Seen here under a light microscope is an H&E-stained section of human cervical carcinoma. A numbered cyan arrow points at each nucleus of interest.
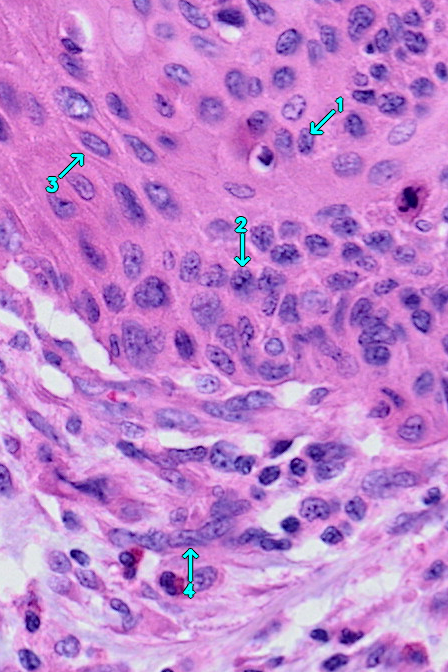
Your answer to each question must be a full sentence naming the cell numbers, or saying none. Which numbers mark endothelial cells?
Of the numbered cells, only cell 4 is an endothelial cell.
